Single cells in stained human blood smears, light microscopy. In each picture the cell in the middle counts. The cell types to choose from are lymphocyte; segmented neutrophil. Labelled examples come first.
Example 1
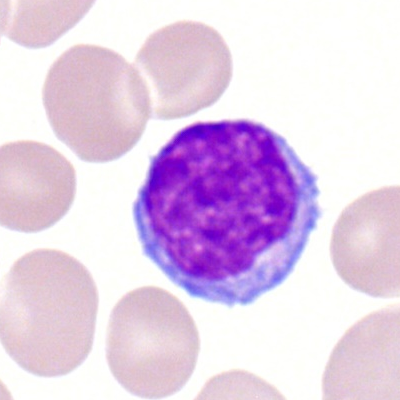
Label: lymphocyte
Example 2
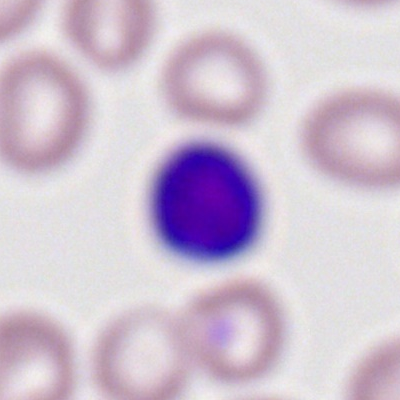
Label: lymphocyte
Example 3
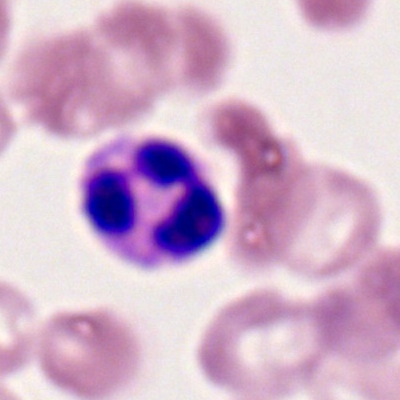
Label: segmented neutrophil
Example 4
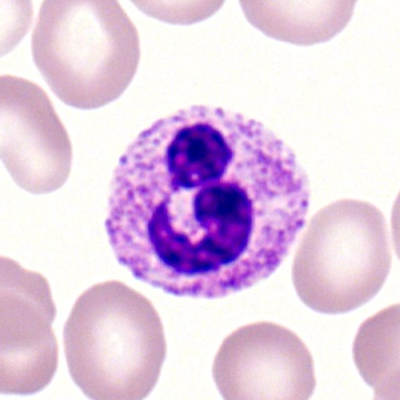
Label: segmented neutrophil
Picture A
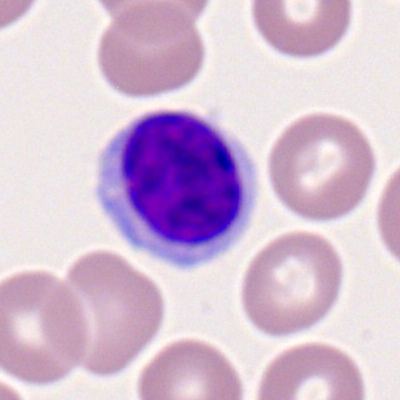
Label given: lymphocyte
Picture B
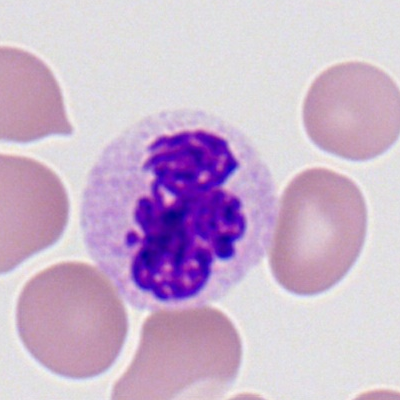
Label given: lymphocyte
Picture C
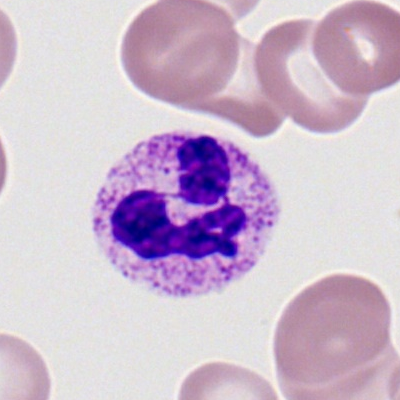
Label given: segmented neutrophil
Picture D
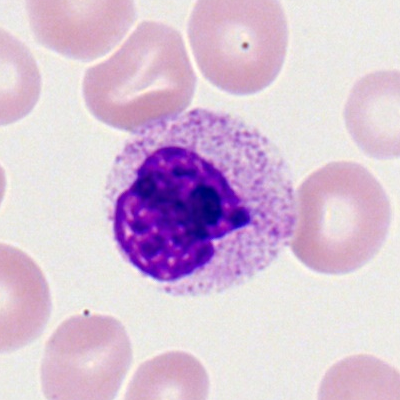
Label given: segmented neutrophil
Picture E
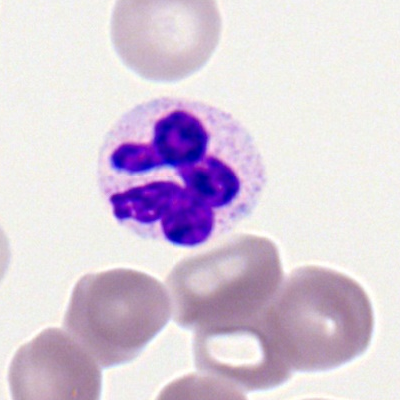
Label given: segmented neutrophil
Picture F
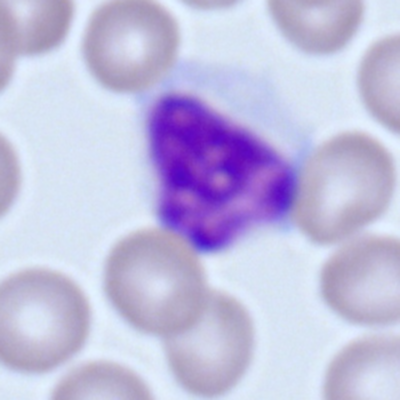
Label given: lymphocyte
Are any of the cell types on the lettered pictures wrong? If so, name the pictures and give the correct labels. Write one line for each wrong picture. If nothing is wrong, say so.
B is labelled lymphocyte; correct label: segmented neutrophil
